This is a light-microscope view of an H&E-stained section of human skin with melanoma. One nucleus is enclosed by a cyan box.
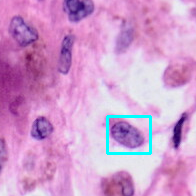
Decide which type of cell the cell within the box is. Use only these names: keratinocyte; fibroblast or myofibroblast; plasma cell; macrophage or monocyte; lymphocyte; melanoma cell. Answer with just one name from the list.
macrophage or monocyte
